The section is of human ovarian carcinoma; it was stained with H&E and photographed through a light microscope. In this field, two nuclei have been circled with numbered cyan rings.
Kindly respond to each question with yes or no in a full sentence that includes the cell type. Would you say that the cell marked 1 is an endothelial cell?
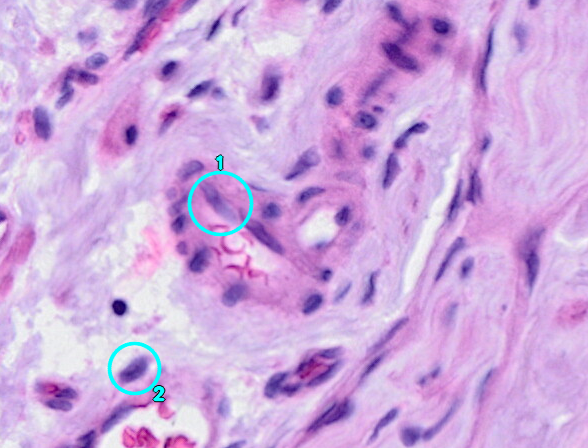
Yes, the cell numbered 1 in this tissue is an endothelial cell.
